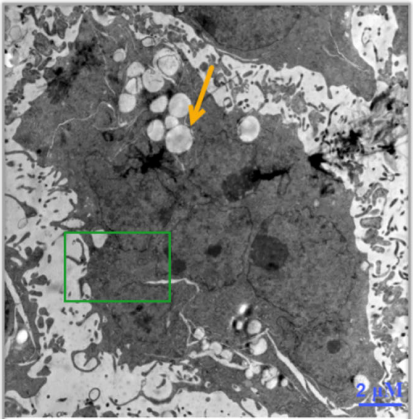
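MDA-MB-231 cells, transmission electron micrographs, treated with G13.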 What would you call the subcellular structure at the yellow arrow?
Fat droplets.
